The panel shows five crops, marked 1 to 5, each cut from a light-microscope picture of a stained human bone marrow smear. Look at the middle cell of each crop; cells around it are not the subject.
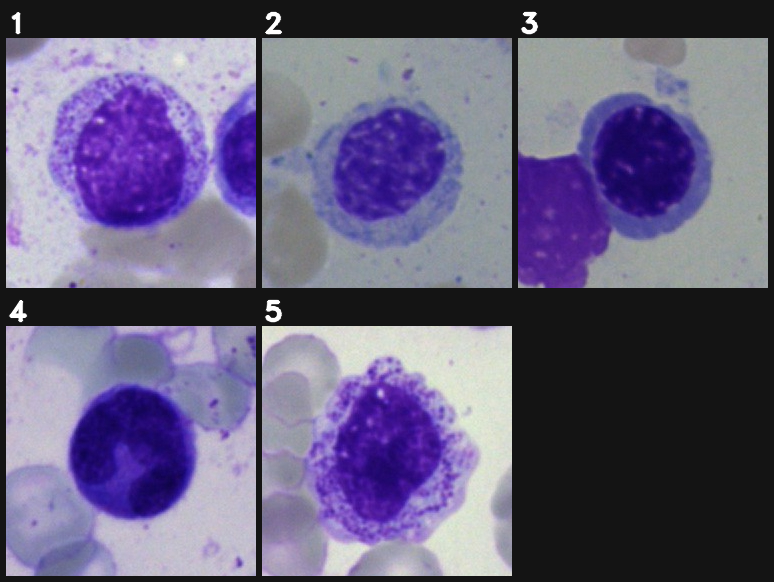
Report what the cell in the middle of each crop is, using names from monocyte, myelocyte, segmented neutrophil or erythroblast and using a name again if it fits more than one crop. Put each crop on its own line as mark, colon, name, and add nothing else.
1: myelocyte
2: myelocyte
3: erythroblast
4: monocyte
5: myelocyte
